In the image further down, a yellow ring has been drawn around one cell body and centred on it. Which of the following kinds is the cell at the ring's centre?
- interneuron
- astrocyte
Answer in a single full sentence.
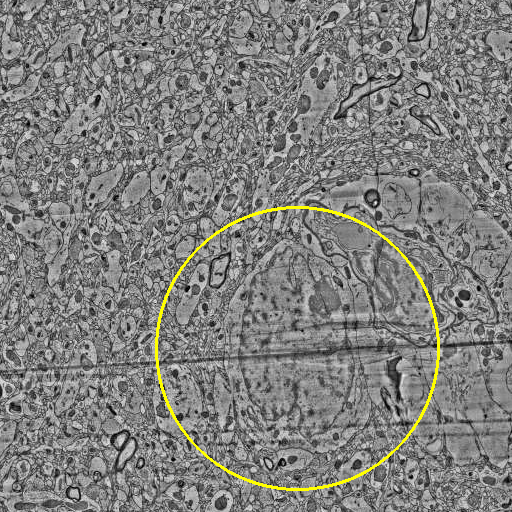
In the picture, the cell sitting at the centre of the yellow ring is an interneuron.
